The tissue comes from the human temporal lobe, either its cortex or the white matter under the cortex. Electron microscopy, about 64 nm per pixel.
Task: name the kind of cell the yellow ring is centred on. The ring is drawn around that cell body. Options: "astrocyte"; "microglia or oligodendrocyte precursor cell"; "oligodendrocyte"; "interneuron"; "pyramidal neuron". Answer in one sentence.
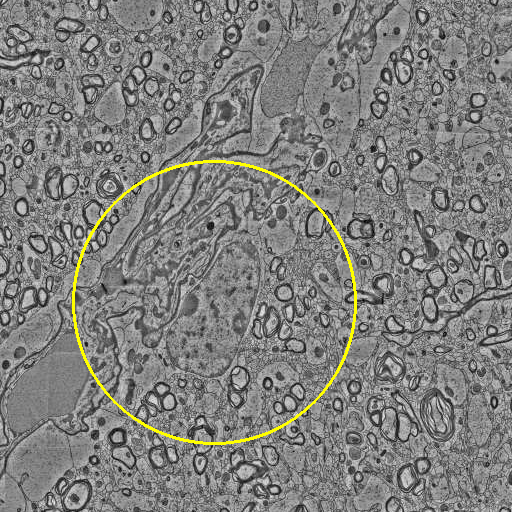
This cell body belongs to a microglial cell or oligodendrocyte precursor cell.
